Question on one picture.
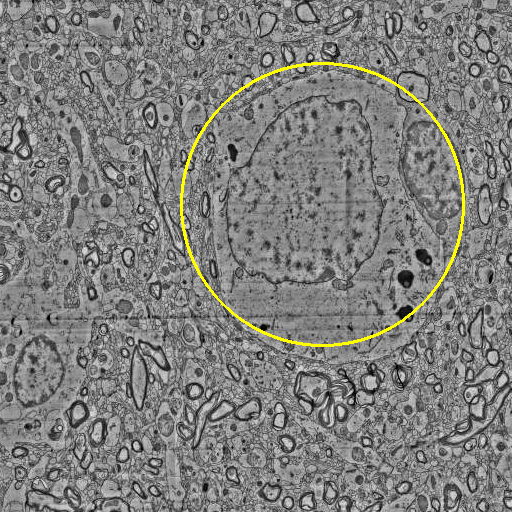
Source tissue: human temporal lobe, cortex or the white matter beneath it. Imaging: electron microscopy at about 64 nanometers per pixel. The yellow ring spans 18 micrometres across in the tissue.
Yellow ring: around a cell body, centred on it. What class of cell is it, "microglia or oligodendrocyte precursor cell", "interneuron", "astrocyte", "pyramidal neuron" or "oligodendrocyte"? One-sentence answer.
This is a pyramidal neuron, the cell the ring is centred on.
